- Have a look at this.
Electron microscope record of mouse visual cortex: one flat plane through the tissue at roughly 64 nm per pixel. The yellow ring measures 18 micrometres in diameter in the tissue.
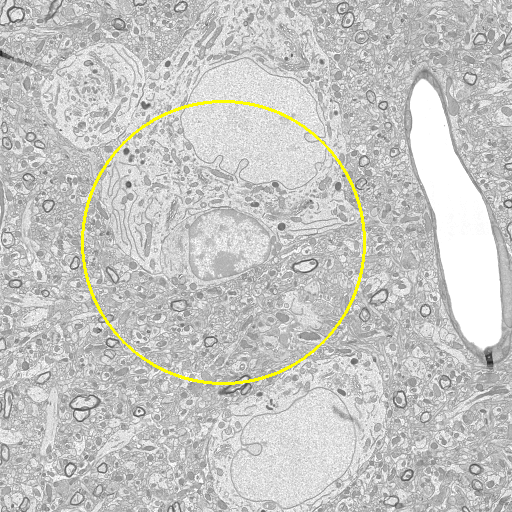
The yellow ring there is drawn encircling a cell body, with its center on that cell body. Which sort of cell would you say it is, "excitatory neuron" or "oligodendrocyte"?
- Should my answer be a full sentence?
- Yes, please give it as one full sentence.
For this picture, an oligodendrocyte is the cell where the yellow ring has its center.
